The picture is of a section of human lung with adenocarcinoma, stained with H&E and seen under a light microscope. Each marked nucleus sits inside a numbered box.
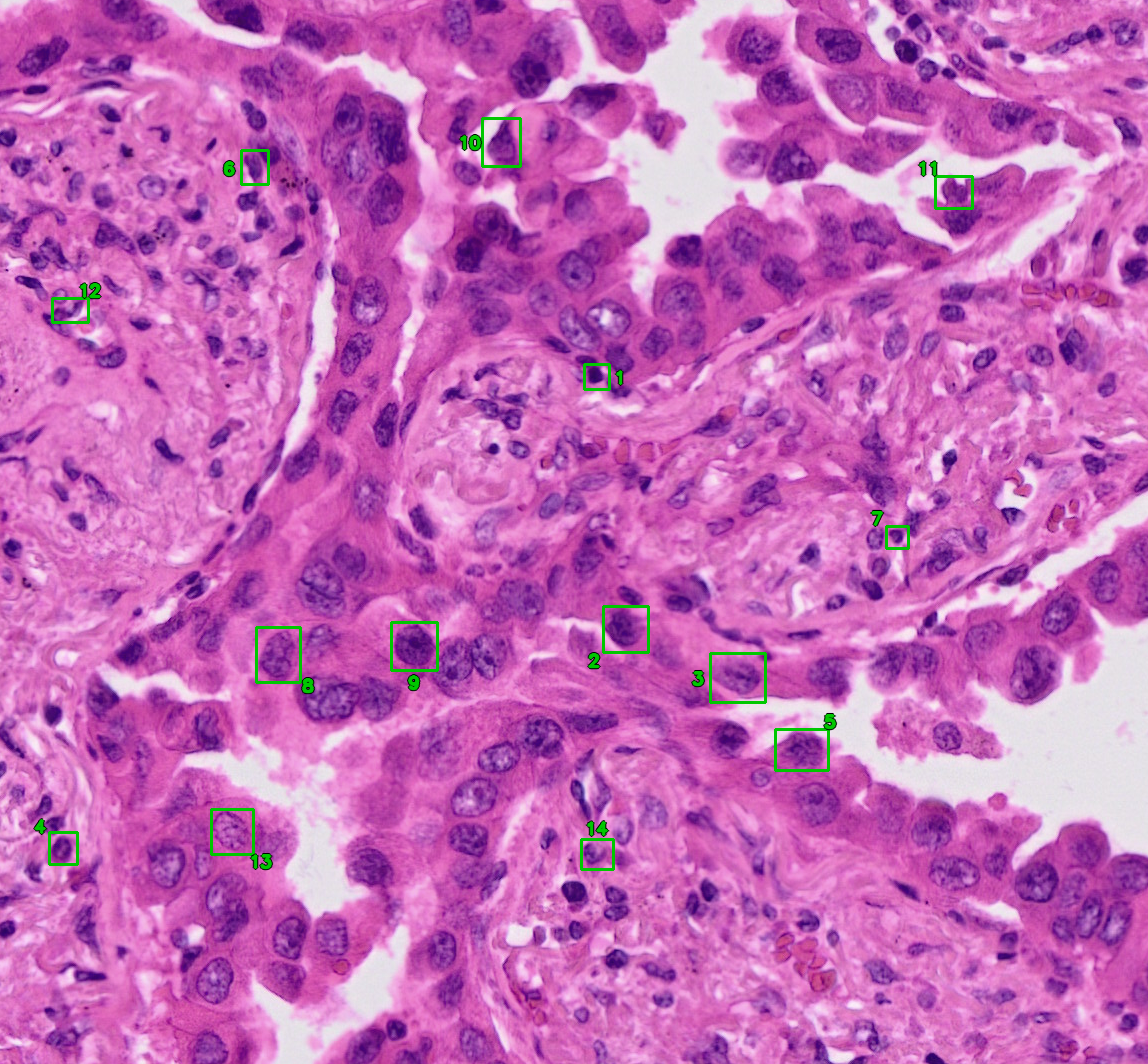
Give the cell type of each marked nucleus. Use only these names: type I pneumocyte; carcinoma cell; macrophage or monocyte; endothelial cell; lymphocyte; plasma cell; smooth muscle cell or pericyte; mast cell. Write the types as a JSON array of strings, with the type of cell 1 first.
["lymphocyte", "carcinoma cell", "carcinoma cell", "plasma cell", "carcinoma cell", "lymphocyte", "lymphocyte", "carcinoma cell", "carcinoma cell", "carcinoma cell", "carcinoma cell", "endothelial cell", "carcinoma cell", "plasma cell"]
